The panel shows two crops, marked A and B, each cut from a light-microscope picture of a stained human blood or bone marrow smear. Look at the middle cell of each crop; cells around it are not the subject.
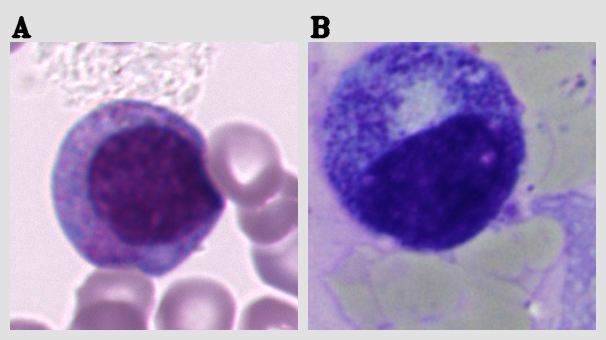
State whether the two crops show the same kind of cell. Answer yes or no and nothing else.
yes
